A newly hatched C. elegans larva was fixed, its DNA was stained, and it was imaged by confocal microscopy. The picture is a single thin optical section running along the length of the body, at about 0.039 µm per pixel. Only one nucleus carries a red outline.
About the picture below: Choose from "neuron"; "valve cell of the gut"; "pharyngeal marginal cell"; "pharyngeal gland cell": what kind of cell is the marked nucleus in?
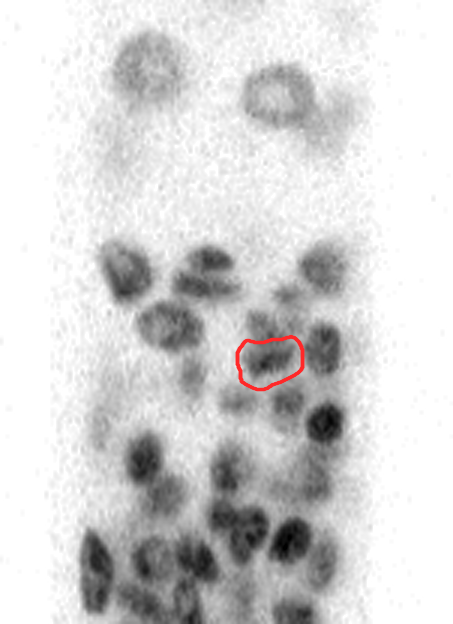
pharyngeal gland cell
